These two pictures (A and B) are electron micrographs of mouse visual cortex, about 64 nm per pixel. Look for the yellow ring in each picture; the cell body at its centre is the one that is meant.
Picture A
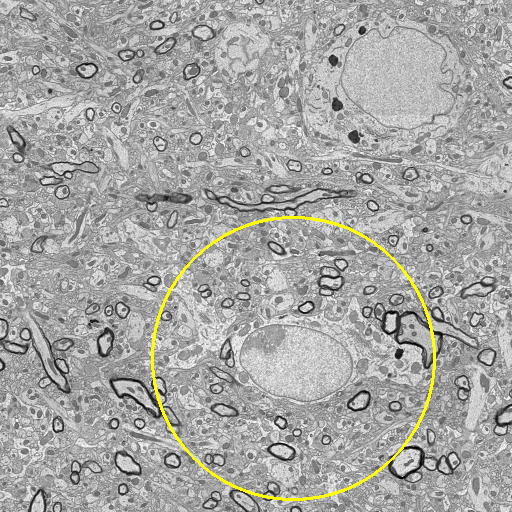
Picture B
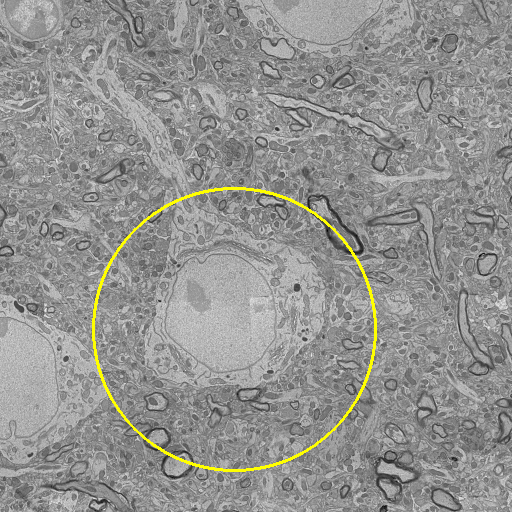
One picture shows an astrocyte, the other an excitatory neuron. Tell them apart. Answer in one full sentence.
In picture A the cell is an astrocyte; in picture B, an excitatory neuron.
